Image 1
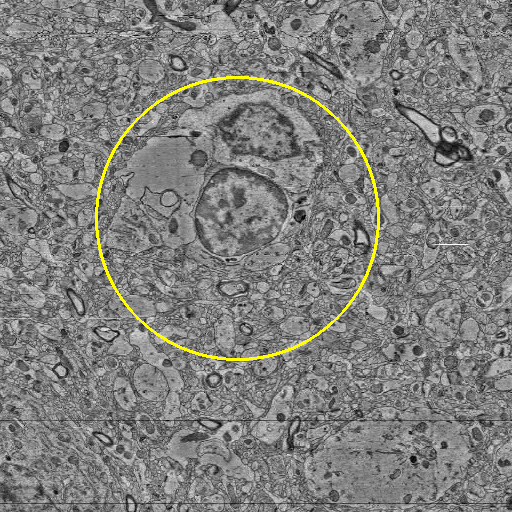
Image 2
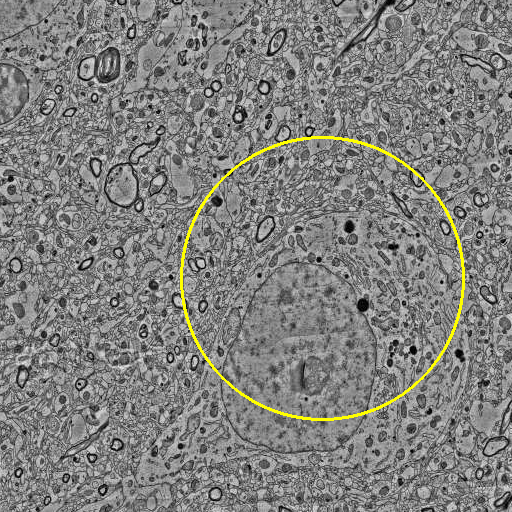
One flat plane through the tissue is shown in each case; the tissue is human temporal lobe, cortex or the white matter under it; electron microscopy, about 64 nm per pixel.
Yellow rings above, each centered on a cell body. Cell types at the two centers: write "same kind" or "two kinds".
two kinds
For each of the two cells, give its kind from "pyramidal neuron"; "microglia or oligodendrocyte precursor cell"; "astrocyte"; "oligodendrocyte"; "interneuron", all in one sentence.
The first picture has a microglial cell or oligodendrocyte precursor cell in its ring, the second has an interneuron.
